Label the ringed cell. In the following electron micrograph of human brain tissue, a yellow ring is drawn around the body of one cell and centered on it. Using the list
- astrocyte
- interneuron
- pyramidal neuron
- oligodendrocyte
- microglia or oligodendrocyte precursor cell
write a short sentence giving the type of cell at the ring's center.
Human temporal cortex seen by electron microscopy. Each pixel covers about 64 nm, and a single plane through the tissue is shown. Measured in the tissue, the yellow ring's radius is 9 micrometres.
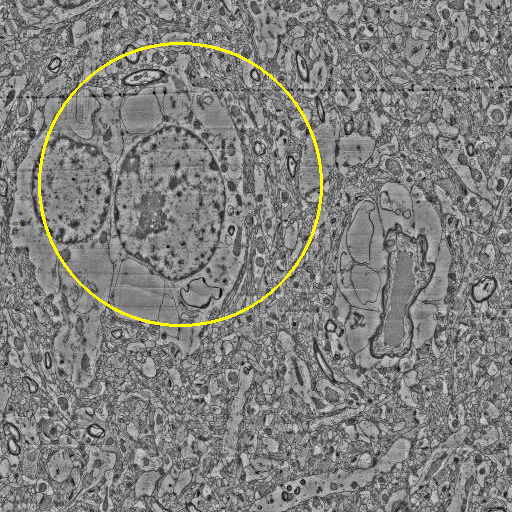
The cell body at the ring's center is that of an astrocyte.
